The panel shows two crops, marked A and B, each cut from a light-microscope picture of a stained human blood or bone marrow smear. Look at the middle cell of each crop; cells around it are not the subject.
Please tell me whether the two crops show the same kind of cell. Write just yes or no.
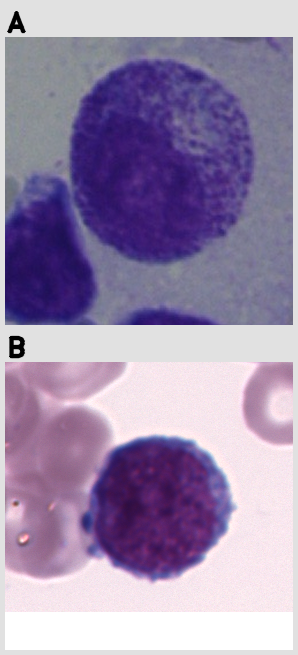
no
